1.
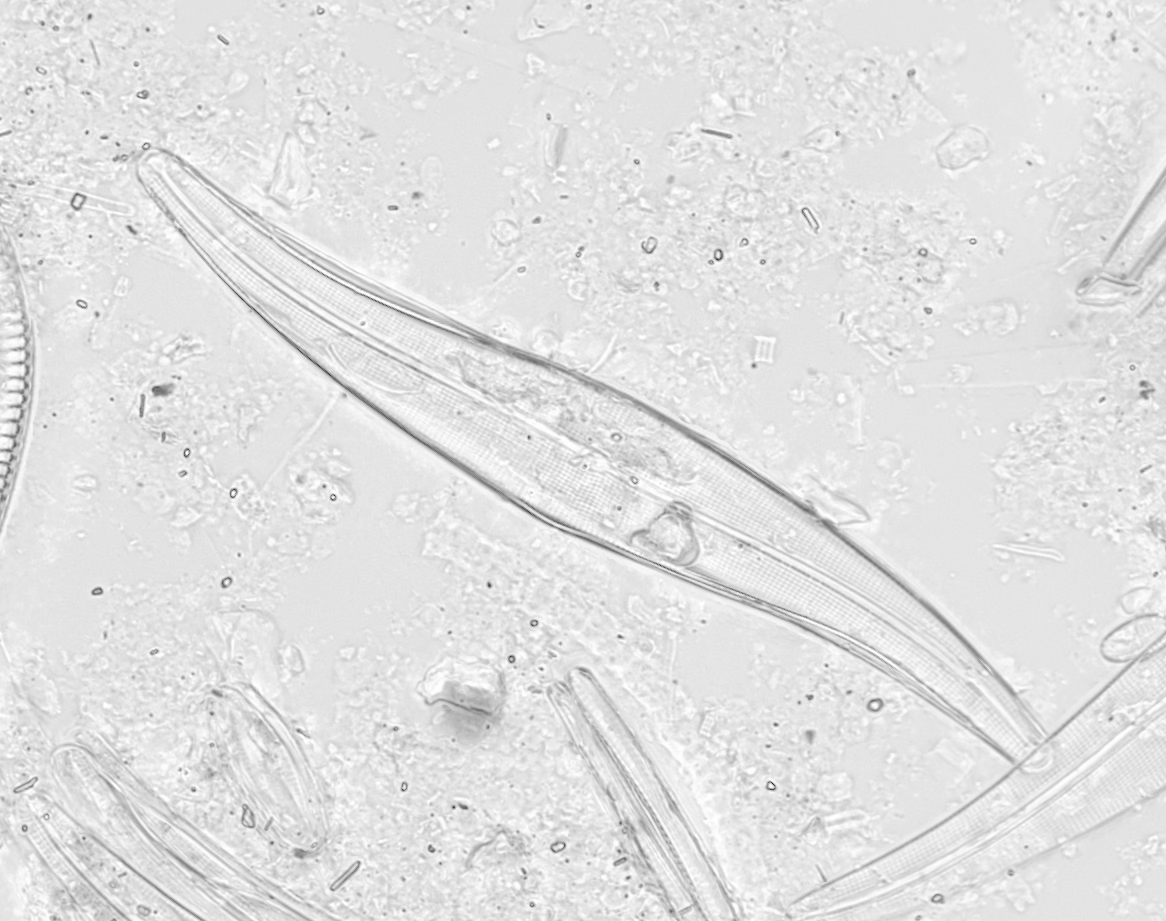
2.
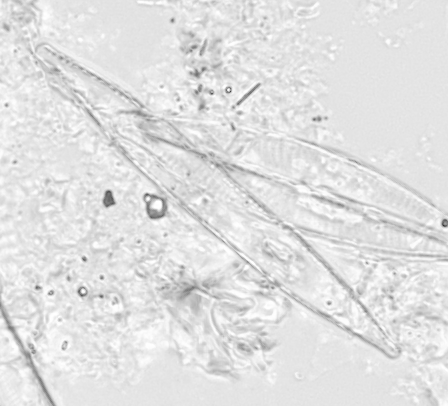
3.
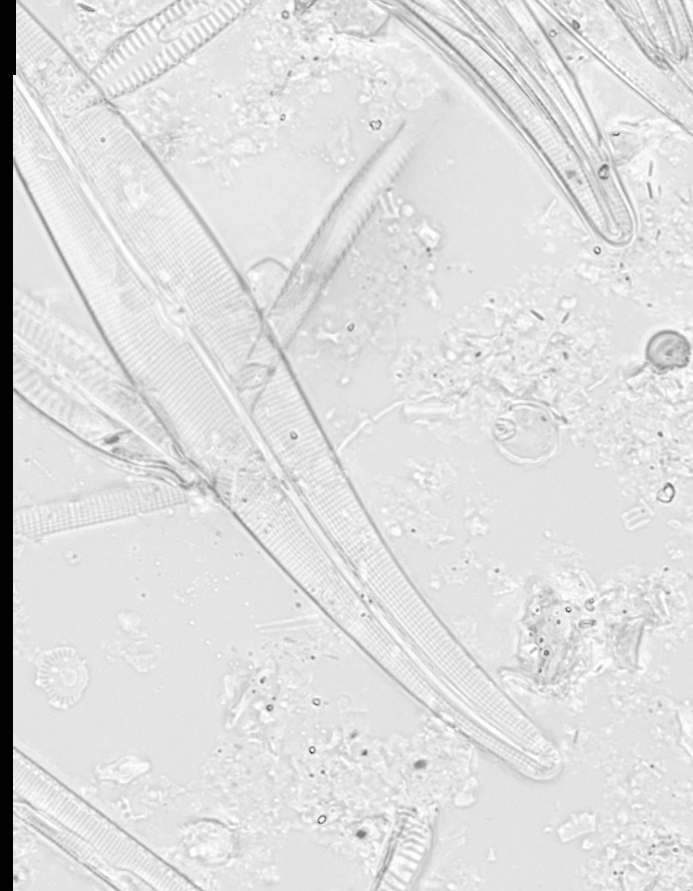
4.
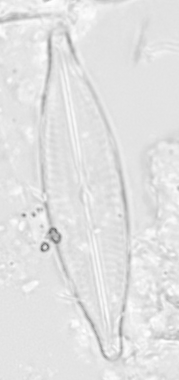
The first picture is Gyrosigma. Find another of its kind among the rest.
Picture 3.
